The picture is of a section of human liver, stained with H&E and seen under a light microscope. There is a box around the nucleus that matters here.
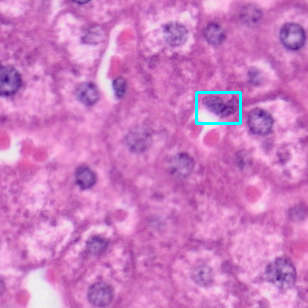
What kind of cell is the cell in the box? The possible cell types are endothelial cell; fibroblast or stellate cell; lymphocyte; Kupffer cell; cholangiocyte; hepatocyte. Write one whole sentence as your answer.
In this tissue sample, the cell in the box is an endothelial cell.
